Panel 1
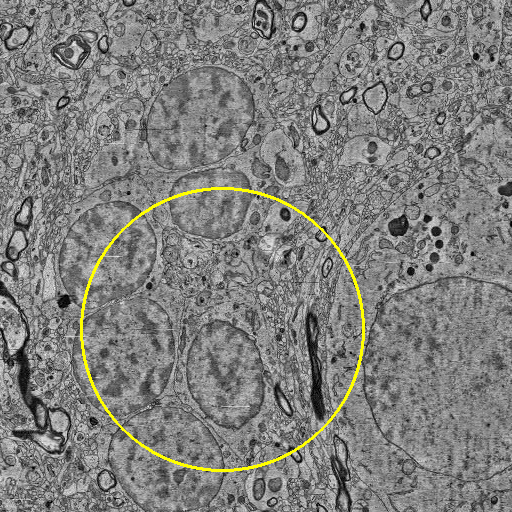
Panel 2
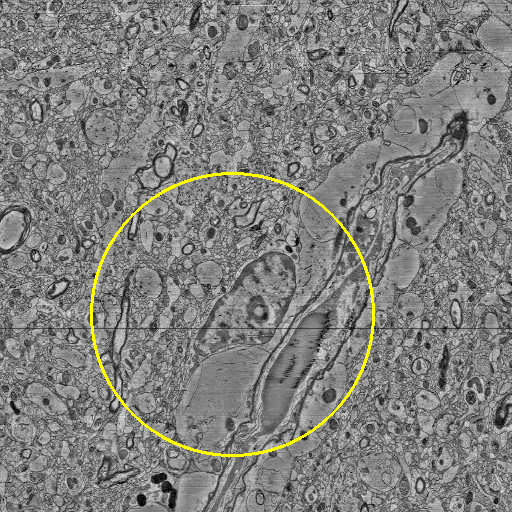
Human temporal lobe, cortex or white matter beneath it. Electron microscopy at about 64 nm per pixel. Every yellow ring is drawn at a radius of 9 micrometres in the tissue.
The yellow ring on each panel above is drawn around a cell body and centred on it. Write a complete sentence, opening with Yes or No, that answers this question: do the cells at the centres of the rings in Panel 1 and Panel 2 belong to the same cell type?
No, the two cells belong to two cell types.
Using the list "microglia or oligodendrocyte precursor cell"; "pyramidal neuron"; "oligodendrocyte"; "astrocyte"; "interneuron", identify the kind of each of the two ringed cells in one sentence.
The first is an oligodendrocyte and the second is a microglial cell or oligodendrocyte precursor cell.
